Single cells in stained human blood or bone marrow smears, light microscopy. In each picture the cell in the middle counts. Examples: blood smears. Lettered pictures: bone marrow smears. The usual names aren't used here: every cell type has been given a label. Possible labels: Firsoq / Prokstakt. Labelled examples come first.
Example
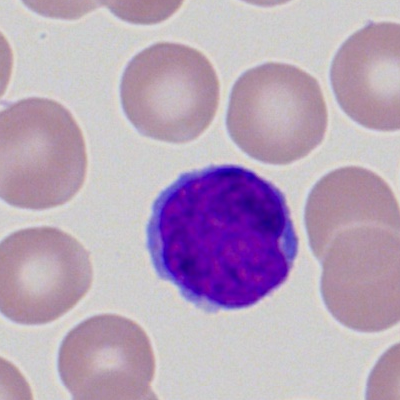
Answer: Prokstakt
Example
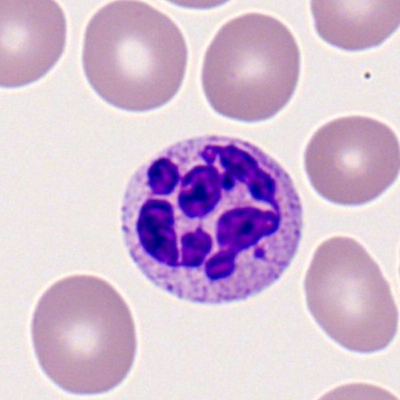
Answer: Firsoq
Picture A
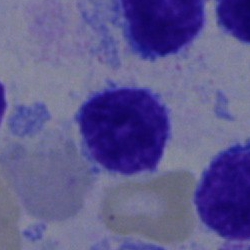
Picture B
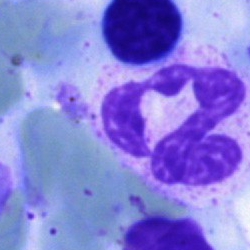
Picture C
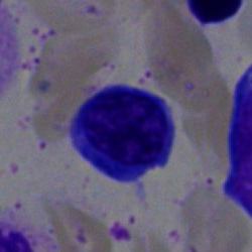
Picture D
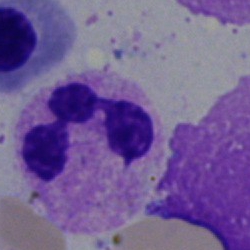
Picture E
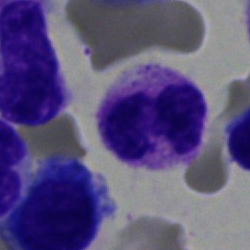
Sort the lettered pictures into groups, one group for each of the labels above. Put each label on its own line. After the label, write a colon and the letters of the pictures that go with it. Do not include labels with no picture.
Firsoq: B, D, E
Prokstakt: A, C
